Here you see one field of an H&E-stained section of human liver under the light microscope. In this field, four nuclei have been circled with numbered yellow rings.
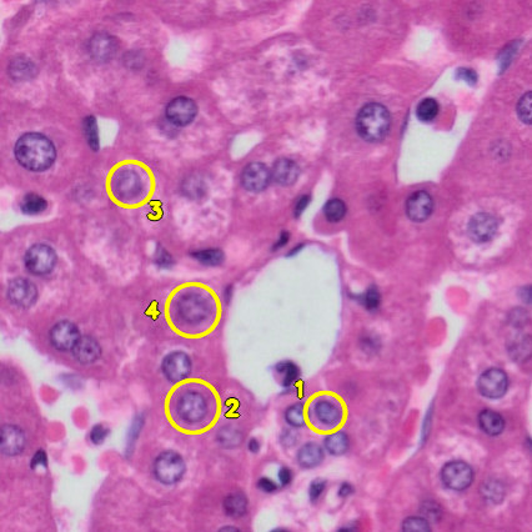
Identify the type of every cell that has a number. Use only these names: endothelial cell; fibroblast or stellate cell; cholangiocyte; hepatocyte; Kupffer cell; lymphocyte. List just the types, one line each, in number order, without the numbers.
cholangiocyte
hepatocyte
hepatocyte
hepatocyte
